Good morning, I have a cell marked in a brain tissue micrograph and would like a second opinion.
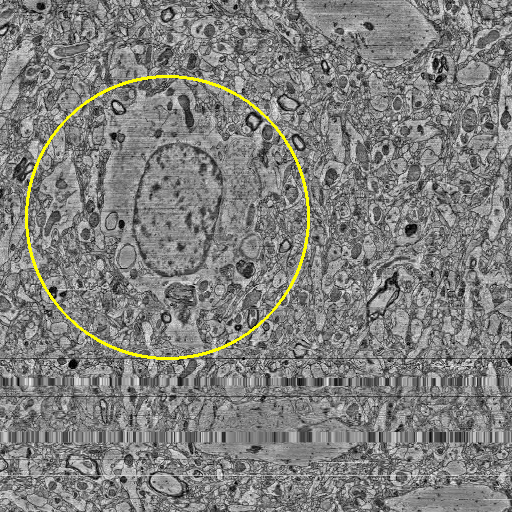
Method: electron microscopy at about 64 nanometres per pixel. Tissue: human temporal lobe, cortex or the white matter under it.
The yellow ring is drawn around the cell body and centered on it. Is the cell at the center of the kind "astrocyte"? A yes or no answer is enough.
yes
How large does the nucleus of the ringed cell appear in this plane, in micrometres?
In this plane the nucleus measures about 9 by 6 micrometres and is clearly longer than it is wide.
